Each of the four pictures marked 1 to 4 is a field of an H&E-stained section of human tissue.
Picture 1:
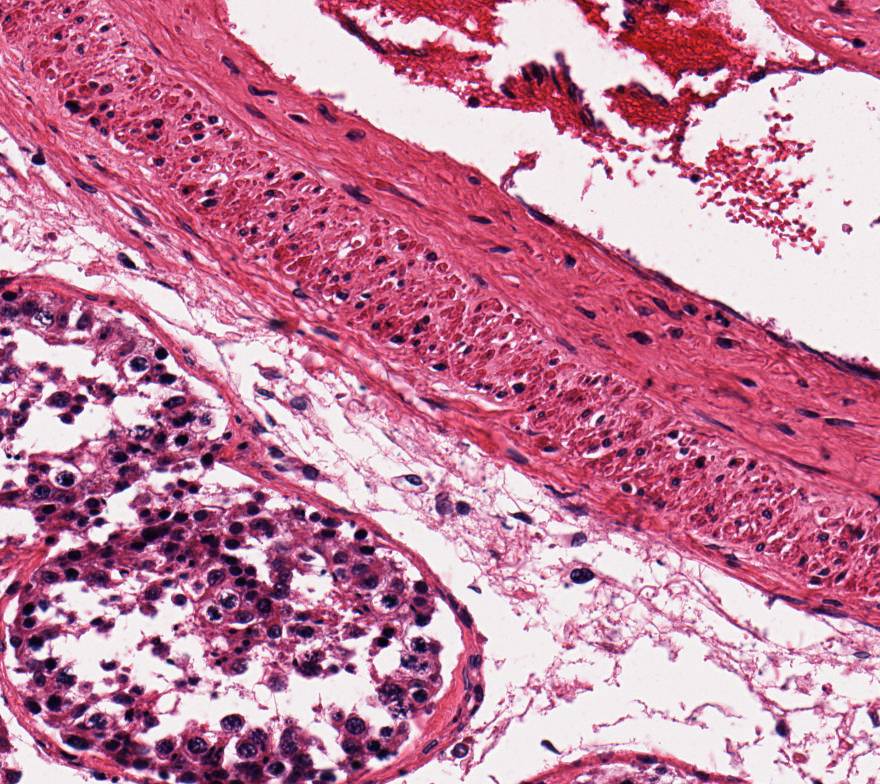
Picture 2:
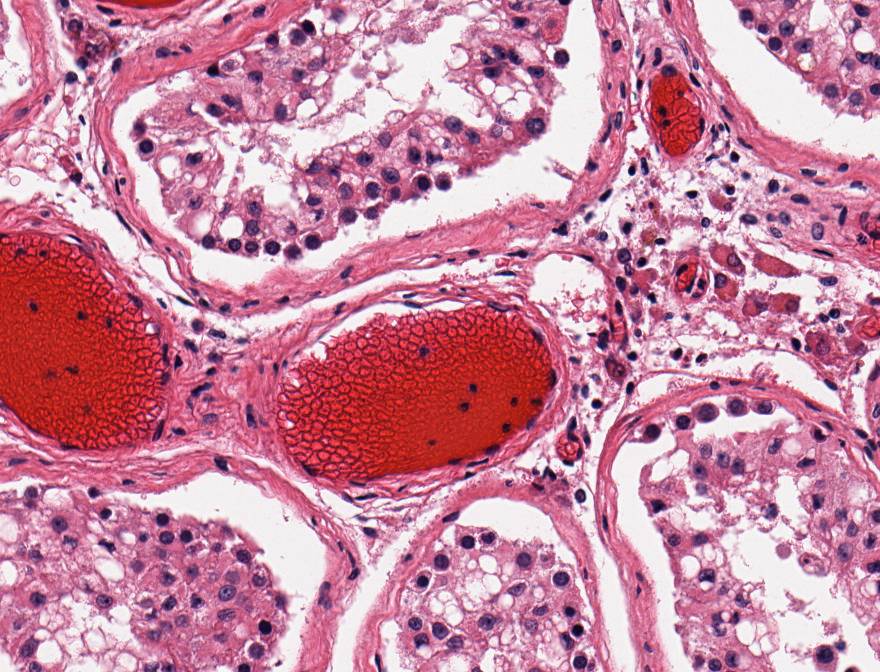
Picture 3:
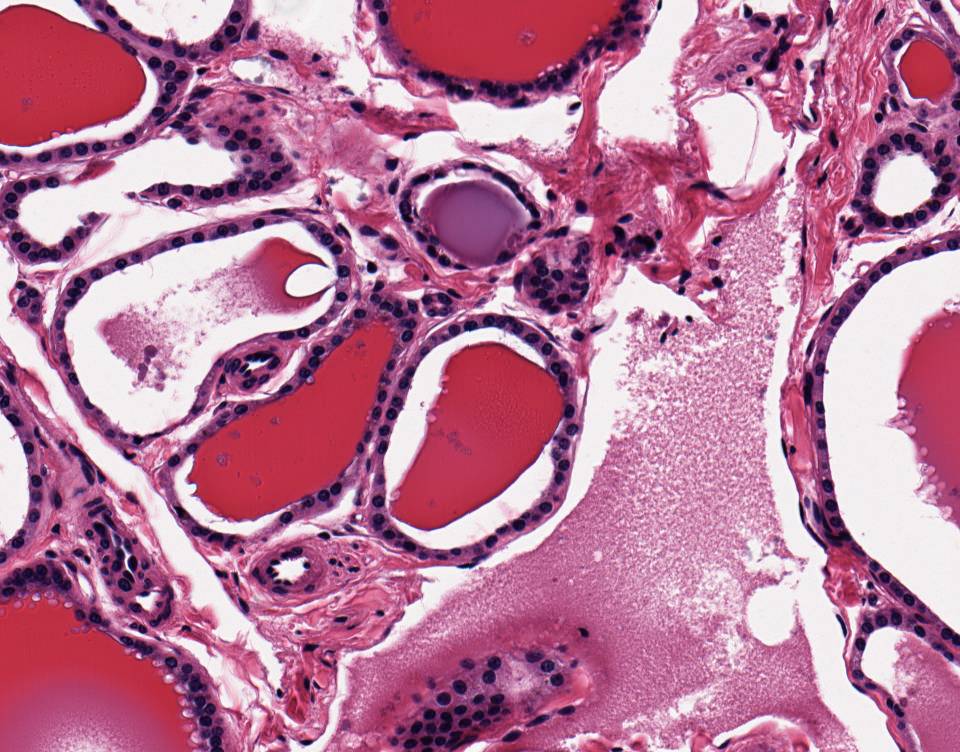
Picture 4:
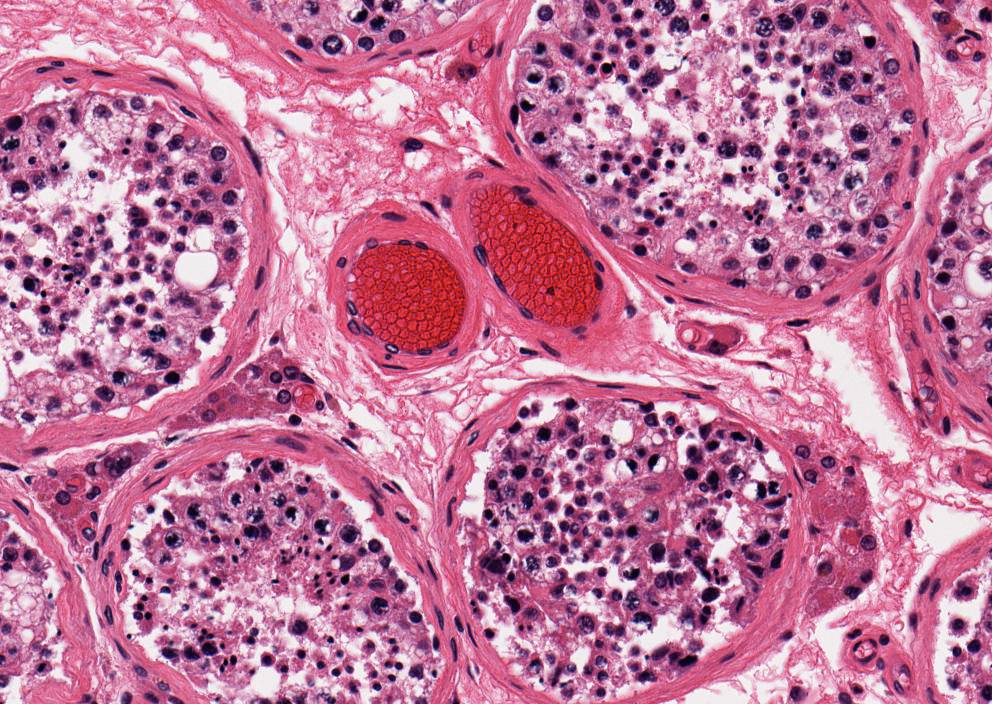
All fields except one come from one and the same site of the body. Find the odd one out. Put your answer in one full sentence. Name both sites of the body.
Picture 3 is the odd one out: it comes from the thyroid, while the others come from the testis.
